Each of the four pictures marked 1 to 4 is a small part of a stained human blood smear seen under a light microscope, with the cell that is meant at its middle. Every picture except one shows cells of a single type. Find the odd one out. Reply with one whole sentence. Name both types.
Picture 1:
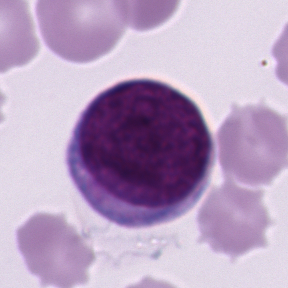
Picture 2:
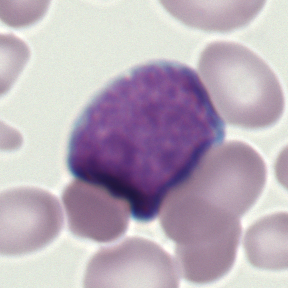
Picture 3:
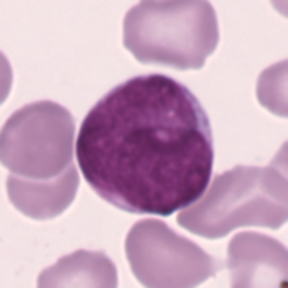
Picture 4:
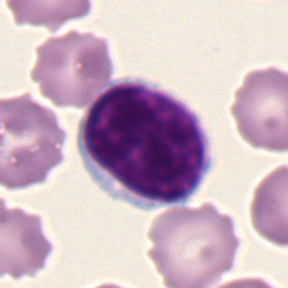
Picture 4 differs, because its cell is a typical lymphocyte and the rest are myeloblasts.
